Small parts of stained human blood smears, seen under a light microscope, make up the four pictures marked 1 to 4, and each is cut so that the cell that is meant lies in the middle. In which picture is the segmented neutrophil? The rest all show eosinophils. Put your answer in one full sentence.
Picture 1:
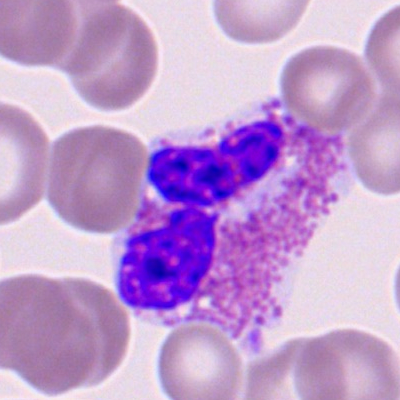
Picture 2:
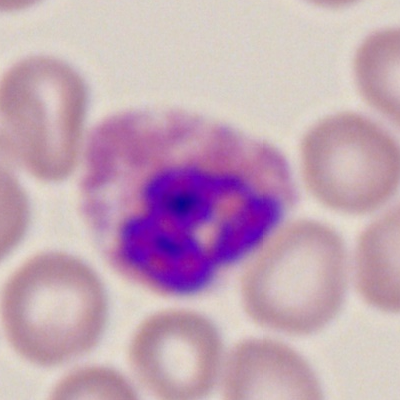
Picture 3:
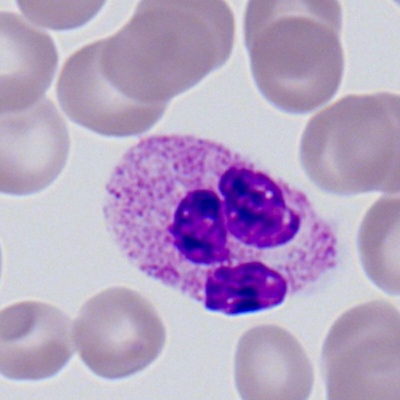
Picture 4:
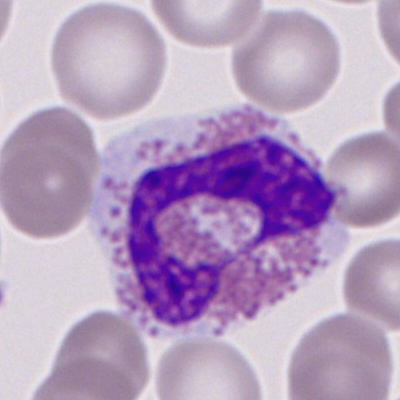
The picture with the segmented neutrophil is 3.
